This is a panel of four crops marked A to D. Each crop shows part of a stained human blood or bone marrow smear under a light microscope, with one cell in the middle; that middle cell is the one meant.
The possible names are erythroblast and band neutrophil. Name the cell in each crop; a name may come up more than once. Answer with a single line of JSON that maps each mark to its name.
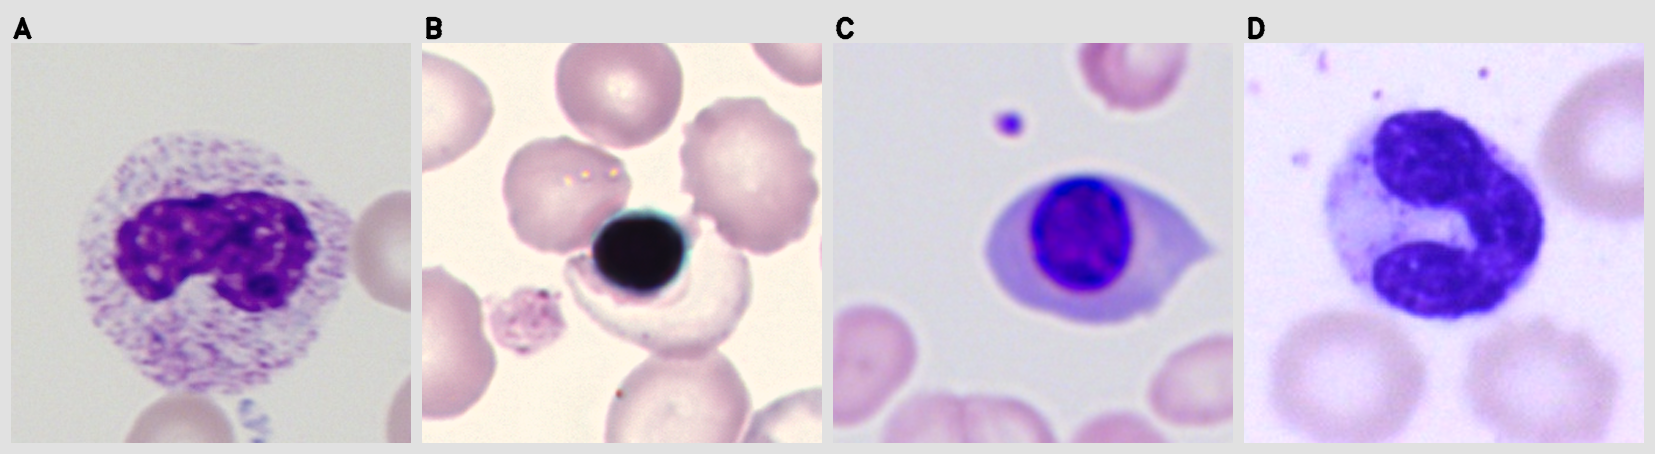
{"A": "band neutrophil", "B": "erythroblast", "C": "erythroblast", "D": "band neutrophil"}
